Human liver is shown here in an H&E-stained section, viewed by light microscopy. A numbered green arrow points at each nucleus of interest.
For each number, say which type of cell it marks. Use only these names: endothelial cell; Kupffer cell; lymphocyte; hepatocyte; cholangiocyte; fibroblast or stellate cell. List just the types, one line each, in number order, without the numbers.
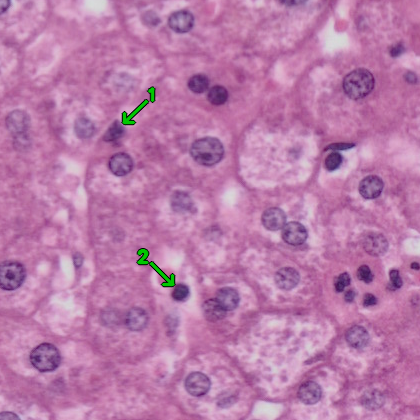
endothelial cell
lymphocyte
